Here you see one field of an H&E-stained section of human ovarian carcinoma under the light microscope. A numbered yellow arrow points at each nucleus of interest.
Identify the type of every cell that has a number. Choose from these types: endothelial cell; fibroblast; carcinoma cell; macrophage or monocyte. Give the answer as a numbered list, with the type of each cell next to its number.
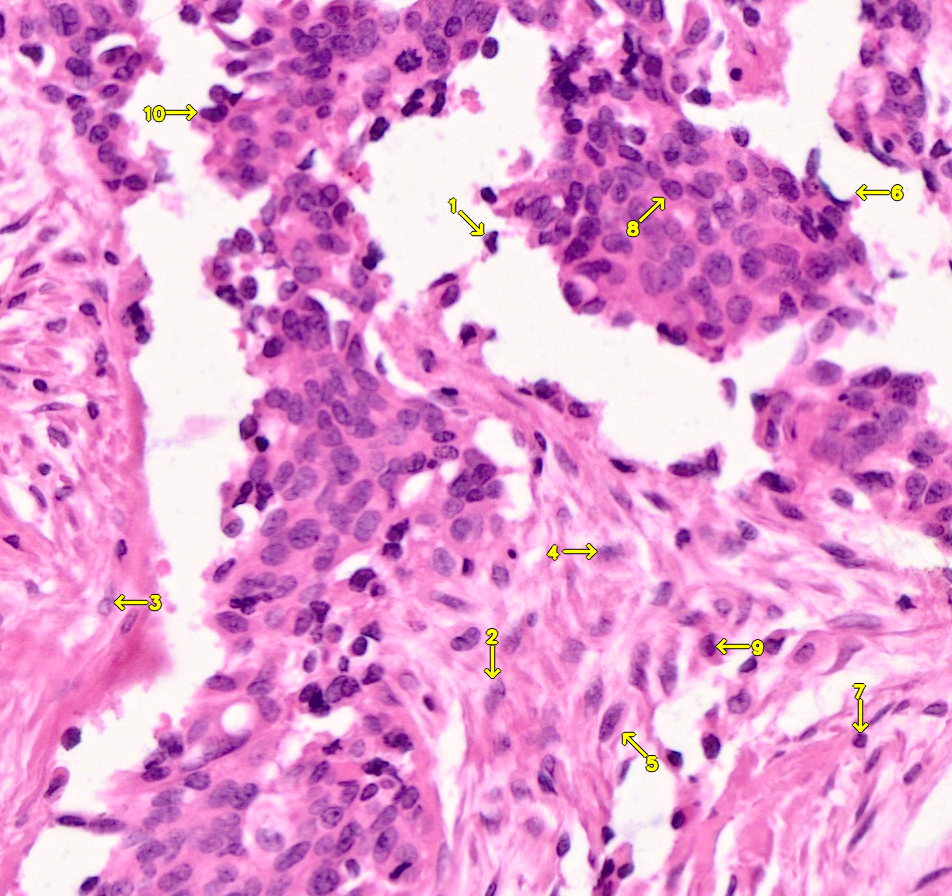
1. carcinoma cell
2. fibroblast
3. fibroblast
4. fibroblast
5. fibroblast
6. carcinoma cell
7. fibroblast
8. carcinoma cell
9. fibroblast
10. carcinoma cell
